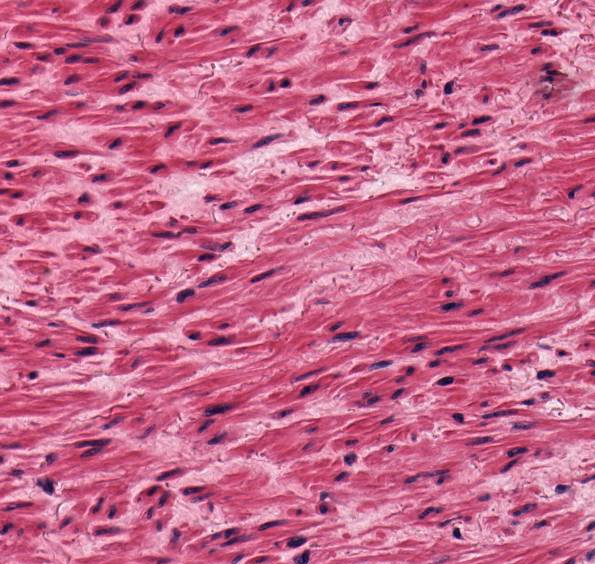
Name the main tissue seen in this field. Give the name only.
tunica media of an artery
